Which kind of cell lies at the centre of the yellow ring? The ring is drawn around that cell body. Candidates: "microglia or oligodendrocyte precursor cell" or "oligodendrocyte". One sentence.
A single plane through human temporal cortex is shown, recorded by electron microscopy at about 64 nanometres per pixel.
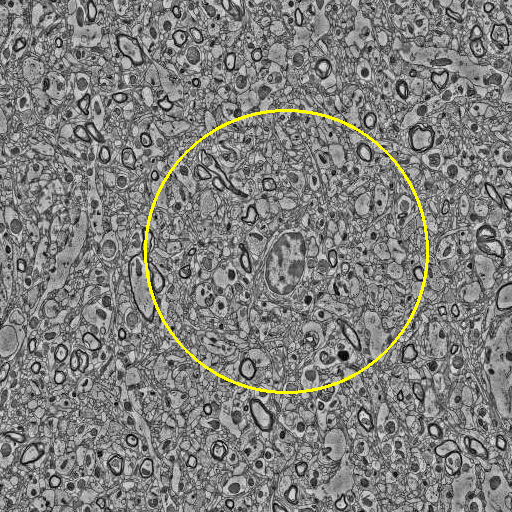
Lying at the centre of the ring is a microglial cell or oligodendrocyte precursor cell.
